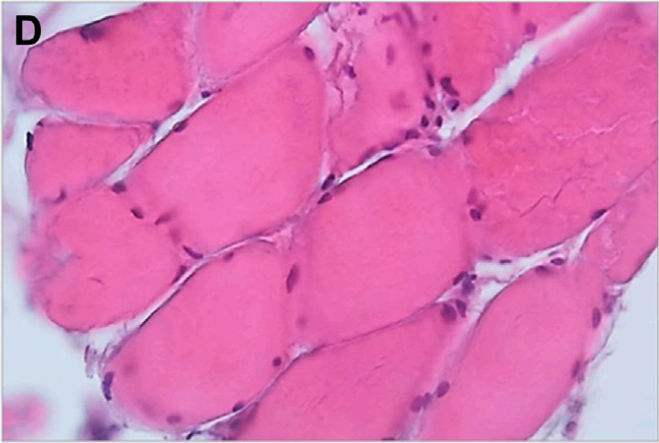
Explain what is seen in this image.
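Cross-sectioned skeletal muscle fibers form large pink polygonal profiles packed closely together with only narrow gaps between them. Flattened dark purple nuclei lie at the periphery of the fibers, and small nuclei are seen in the thin spaces between fibers.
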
